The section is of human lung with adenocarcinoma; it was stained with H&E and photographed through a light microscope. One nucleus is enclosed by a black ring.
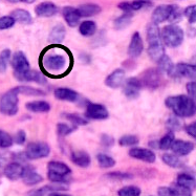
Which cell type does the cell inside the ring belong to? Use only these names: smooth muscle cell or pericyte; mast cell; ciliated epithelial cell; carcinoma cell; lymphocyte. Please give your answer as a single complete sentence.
Placed in its cell category, the cell inside the ring is a lymphocyte.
